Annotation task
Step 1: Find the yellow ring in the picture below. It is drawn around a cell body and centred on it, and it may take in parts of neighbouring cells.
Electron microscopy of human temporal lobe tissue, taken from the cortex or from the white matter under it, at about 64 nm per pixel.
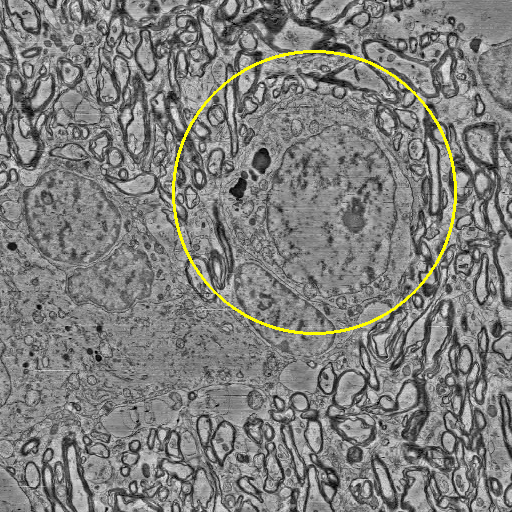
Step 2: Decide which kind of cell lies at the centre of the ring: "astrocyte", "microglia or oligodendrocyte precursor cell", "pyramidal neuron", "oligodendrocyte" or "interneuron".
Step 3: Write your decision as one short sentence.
The kind of cell at the ring's centre is an interneuron.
